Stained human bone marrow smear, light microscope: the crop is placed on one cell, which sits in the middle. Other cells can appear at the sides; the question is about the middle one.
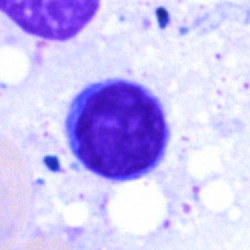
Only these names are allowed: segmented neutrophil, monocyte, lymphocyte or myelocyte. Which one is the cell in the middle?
lymphocyte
